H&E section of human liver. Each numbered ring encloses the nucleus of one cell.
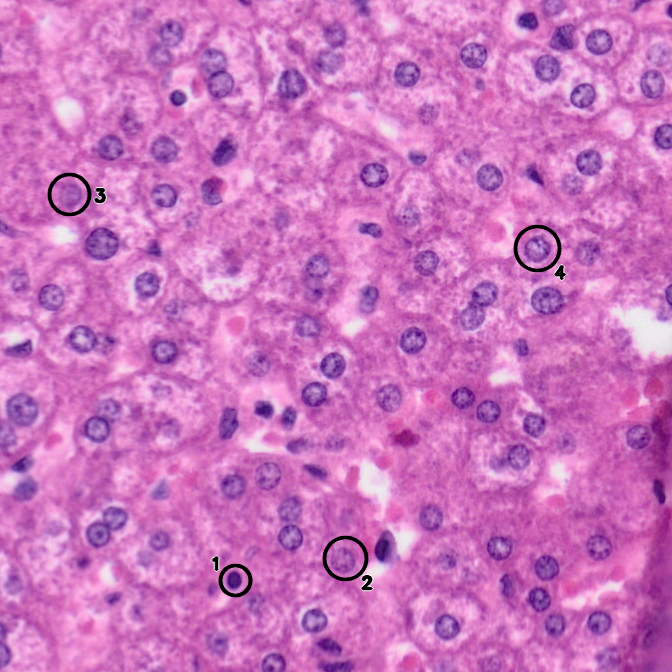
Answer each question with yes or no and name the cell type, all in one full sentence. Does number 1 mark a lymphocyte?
Yes, the cell whose nucleus carries number 1 is a lymphocyte.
